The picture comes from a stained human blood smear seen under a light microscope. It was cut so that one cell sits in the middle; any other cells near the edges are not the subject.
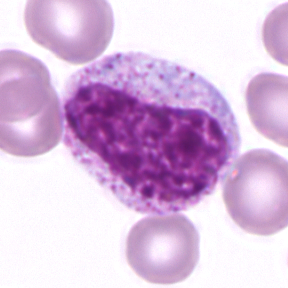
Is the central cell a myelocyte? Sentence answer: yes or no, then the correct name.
No, the centrally located cell is a metamyelocyte rather than a myelocyte.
